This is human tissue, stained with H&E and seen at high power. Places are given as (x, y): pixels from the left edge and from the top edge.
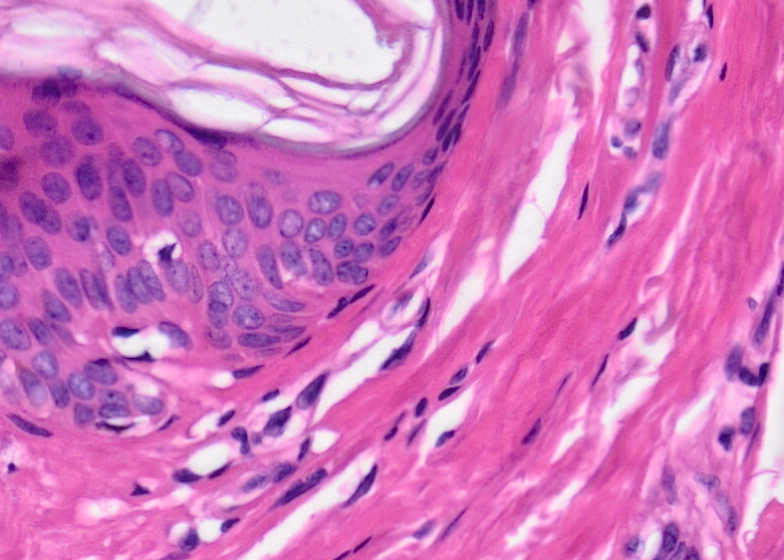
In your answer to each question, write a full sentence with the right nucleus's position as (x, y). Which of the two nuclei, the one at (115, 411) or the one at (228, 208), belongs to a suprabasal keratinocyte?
Belonging to a suprabasal keratinocyte is the nucleus at (228, 208).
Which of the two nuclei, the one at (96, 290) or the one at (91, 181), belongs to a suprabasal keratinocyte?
The one belonging to a suprabasal keratinocyte is the nucleus at (91, 181), not the other.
